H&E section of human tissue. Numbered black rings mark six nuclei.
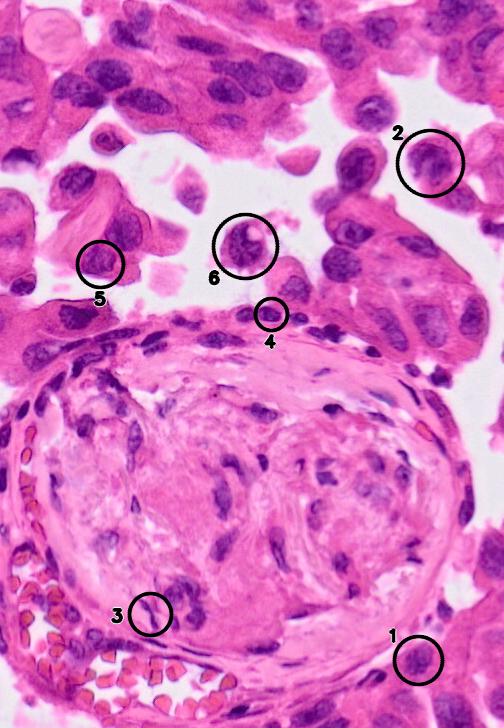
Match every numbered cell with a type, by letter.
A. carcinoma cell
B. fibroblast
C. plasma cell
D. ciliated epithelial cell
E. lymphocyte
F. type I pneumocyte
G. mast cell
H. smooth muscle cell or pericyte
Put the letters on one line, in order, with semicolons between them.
A; A; B; E; A; A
